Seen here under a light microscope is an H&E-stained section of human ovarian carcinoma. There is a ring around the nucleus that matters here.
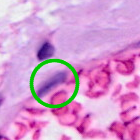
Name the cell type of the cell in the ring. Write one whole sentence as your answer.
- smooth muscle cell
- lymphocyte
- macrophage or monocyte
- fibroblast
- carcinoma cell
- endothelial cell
As a matter of cell type, the cell in the ring is an endothelial cell.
